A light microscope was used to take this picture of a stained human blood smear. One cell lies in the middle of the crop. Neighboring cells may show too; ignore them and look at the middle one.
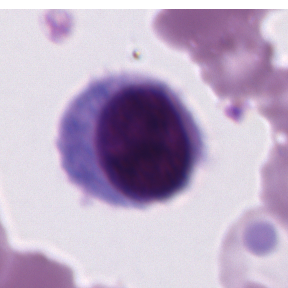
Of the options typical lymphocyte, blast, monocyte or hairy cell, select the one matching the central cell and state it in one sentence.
The cell of interest, located centrally, is a hairy cell.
